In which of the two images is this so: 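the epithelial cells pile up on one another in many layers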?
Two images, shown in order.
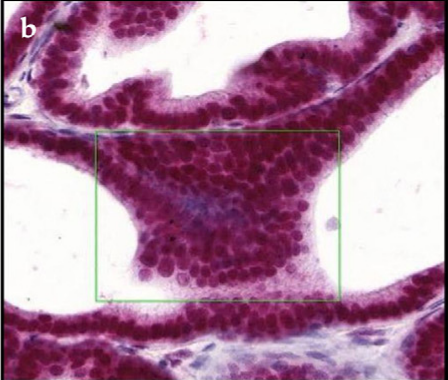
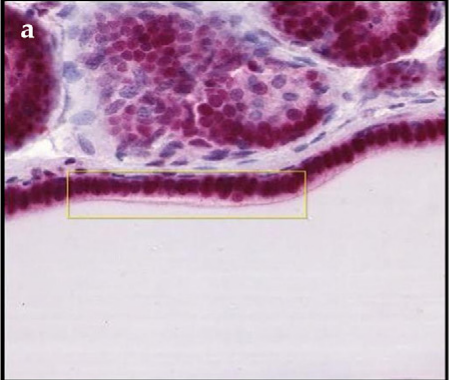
The first image.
